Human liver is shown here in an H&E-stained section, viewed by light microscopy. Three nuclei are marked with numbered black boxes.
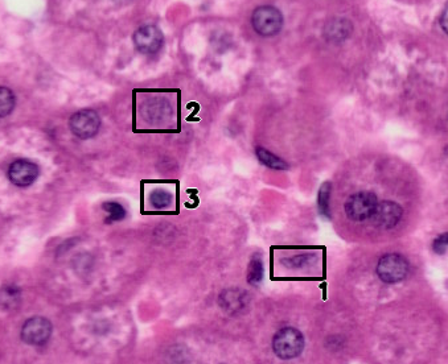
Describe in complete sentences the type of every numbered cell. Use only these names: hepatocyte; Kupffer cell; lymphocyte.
Cell 1 is a Kupffer cell, cell 2 is a hepatocyte and cell 3 is a lymphocyte.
